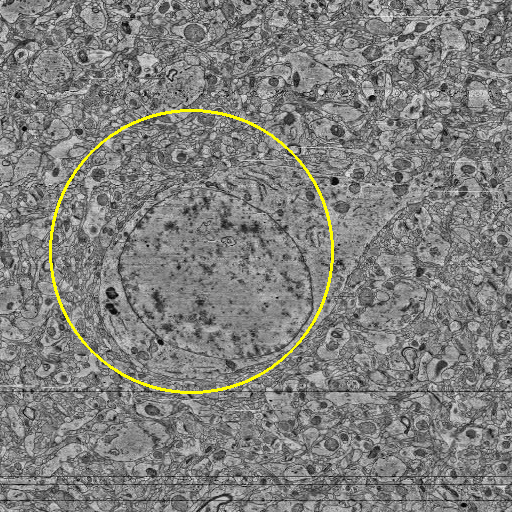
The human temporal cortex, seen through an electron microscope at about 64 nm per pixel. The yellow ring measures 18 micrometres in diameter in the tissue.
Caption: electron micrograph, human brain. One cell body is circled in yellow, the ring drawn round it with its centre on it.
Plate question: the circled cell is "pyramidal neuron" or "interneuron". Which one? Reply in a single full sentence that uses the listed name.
The yellow ring on the plate is centred on a pyramidal neuron, going by the listed names.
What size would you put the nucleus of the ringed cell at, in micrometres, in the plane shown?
In this plane the nucleus spans approximately 13 by 11 micrometers.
